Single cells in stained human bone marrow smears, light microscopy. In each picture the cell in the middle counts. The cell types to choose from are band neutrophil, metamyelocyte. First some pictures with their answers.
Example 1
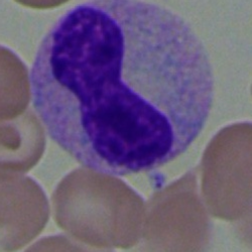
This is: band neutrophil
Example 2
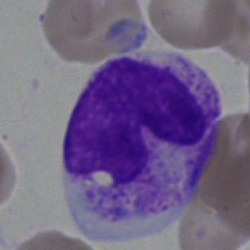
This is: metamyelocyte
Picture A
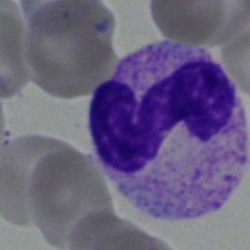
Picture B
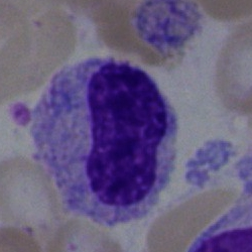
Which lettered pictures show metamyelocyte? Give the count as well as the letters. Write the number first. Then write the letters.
Count: 1 (B)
